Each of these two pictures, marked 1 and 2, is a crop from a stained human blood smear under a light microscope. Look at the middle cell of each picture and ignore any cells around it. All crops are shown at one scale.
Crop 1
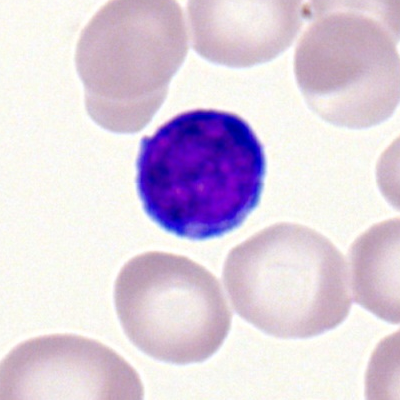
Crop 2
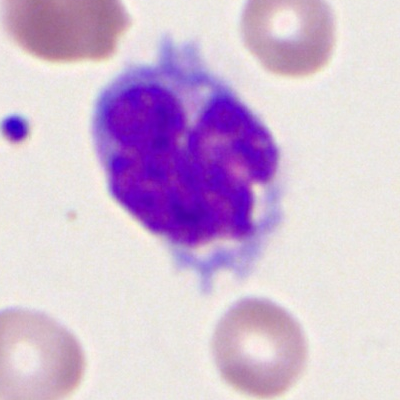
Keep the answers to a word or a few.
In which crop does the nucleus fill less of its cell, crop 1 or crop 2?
2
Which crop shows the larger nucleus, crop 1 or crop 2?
2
